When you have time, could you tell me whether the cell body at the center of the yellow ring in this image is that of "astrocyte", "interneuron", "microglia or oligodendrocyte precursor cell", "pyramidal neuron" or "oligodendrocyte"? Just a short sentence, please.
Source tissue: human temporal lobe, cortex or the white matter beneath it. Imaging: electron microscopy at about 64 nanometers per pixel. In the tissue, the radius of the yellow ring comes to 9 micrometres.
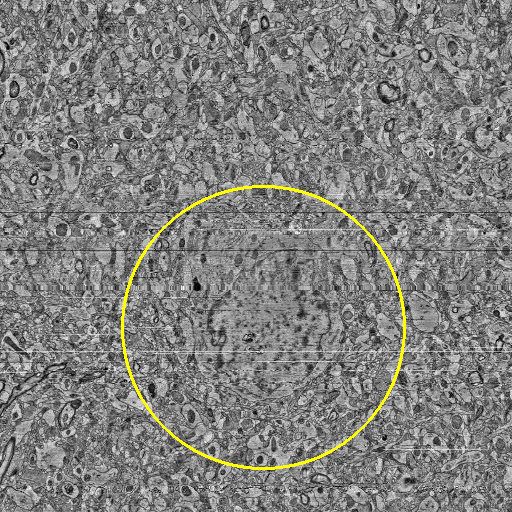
The cell body at the center of the ring is that of an interneuron.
